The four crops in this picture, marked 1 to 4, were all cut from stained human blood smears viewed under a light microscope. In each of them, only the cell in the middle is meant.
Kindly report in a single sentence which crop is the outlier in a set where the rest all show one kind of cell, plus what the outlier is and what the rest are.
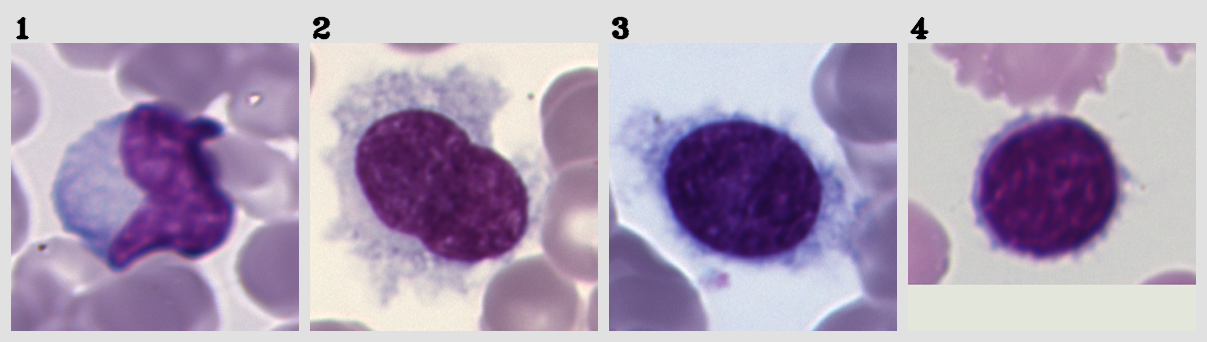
All the crops contain hairy cells save crop 1, where there is a typical lymphocyte.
